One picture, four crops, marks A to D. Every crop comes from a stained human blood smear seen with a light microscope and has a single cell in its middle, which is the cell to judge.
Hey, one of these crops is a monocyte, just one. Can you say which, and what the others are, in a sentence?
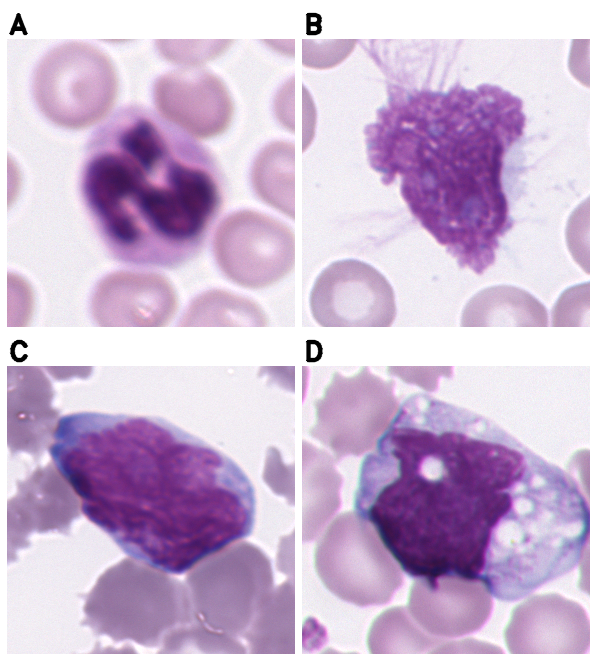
Whereas crop A is a segmented neutrophil, crop B is a smudge cell and crop C is a myeloblast, the cell at the centre of crop D is a monocyte.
